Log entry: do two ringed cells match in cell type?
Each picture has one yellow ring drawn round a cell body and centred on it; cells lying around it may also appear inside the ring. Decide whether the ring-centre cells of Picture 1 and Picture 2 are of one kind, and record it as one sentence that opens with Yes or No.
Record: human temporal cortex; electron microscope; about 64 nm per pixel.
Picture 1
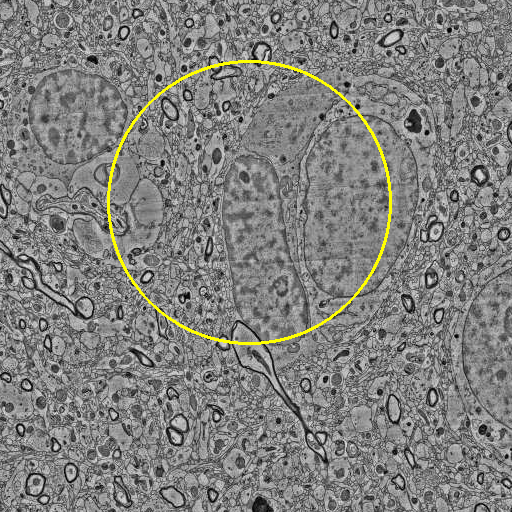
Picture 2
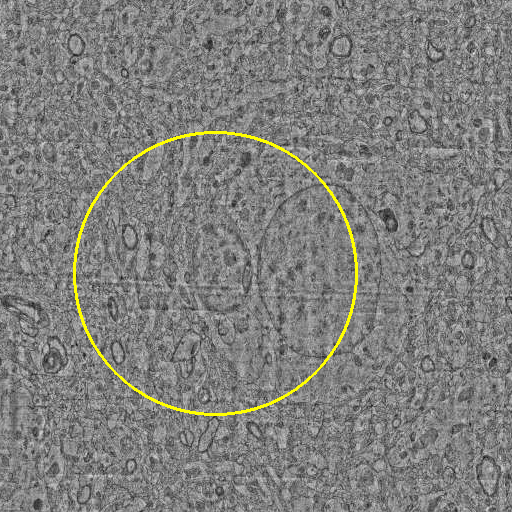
Yes, the cells at the ring centres of the two pictures belong to one kind.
